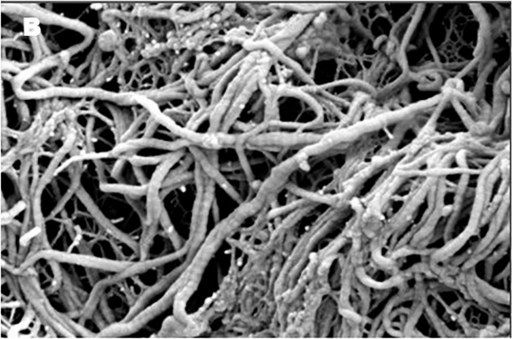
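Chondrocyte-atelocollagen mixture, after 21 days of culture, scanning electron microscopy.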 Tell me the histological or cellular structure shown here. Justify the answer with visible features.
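The fibers cross and interweave into a dense mesh. Some fibers show a beaded, banded surface. That points to this answer: collagen fiber.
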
